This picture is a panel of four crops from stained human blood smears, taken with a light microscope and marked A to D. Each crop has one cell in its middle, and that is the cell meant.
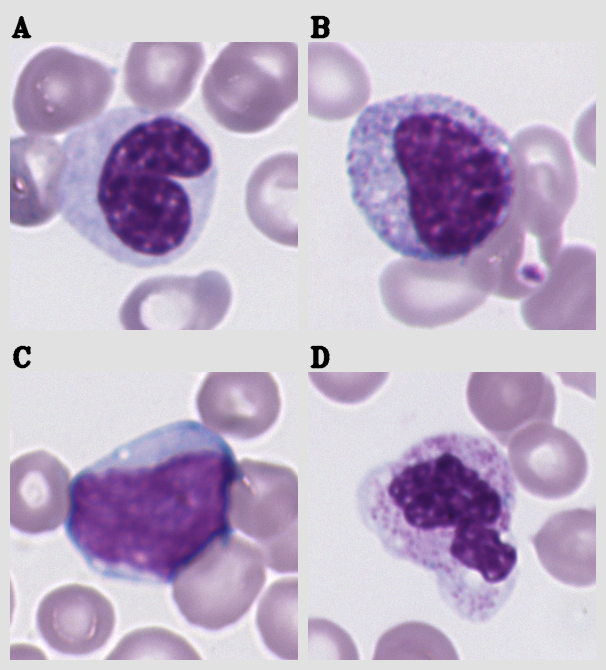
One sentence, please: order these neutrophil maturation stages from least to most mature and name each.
From least mature to most mature, the crops fall in the order crop C (a myeloblast), crop B (a myelocyte), crop A (a band neutrophil) and crop D (a segmented neutrophil).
